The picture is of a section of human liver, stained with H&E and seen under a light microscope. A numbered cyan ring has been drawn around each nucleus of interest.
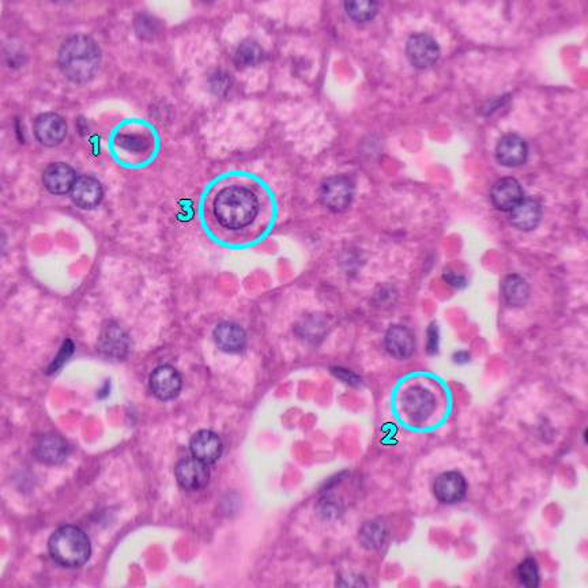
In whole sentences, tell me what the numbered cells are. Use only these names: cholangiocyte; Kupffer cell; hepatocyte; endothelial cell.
Cell 1 is a Kupffer cell, cell 2 is a hepatocyte and cell 3 is a hepatocyte.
